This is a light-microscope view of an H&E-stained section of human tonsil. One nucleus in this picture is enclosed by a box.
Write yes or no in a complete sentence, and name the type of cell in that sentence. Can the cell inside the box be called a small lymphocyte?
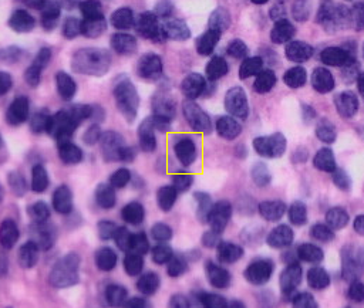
Yes, a small lymphocyte is the correct identification for the cell inside the box.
